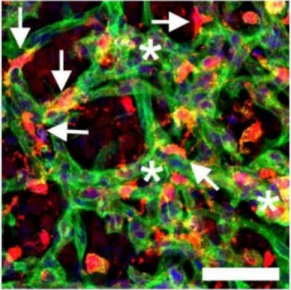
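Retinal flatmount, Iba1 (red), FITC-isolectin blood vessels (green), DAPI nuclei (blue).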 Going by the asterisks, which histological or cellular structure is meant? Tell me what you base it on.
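The clusters are crowded with blue nuclei and lack the orderly branching of normal vessels. On this evidence: Neovascular tufts.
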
